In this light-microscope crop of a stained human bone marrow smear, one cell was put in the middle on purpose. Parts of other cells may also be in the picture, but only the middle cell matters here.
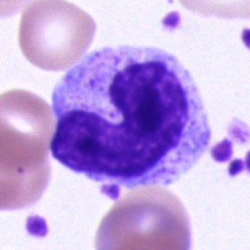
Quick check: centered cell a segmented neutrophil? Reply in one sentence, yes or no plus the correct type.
No, the central cell does not represent a segmented neutrophil, but a band neutrophil.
